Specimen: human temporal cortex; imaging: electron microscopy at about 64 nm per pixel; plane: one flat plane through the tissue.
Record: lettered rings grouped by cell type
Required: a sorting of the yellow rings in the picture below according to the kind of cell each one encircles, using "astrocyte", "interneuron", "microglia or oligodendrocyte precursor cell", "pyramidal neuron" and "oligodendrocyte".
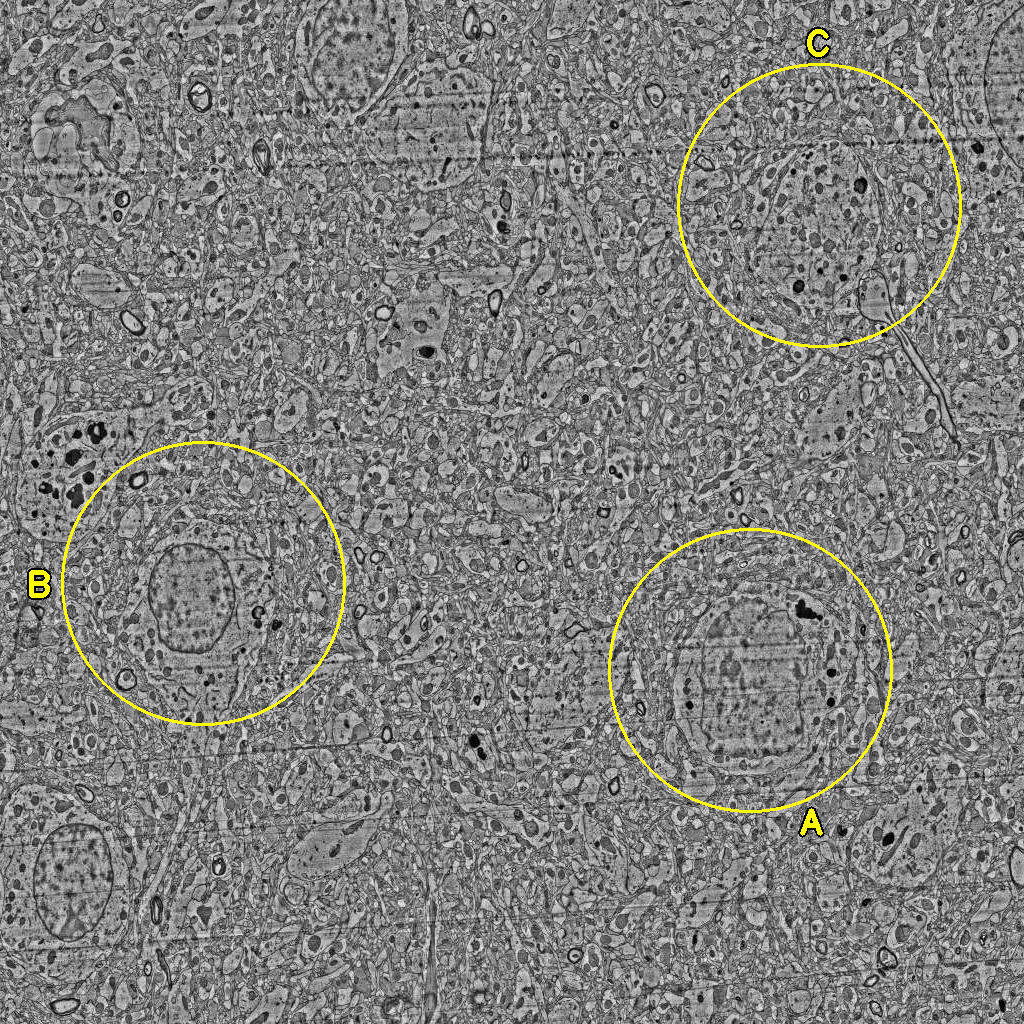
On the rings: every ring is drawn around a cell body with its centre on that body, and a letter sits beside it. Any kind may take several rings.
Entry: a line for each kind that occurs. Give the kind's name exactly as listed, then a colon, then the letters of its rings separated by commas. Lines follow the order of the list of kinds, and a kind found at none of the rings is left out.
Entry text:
interneuron: A
pyramidal neuron: B, C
